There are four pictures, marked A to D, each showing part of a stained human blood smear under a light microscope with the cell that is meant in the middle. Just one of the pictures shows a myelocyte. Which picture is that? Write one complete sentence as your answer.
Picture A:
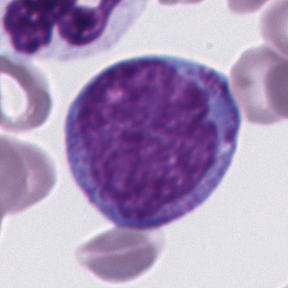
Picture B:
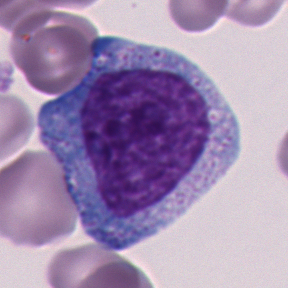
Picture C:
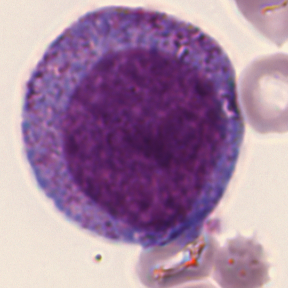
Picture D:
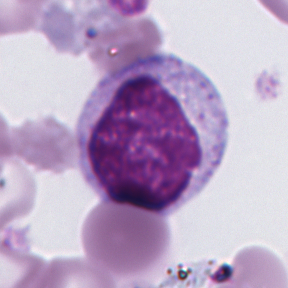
The cell in picture D is the myelocyte.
